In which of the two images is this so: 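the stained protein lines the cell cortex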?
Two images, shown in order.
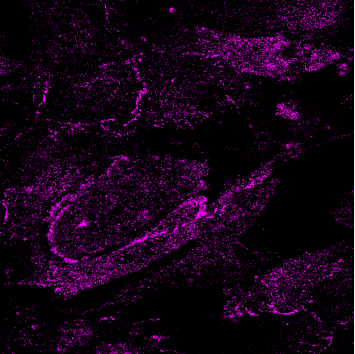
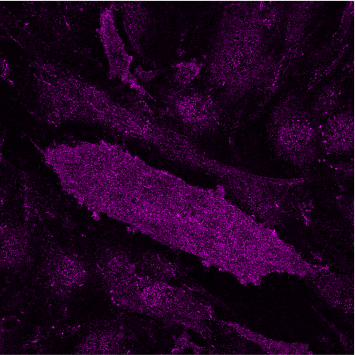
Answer: the first image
